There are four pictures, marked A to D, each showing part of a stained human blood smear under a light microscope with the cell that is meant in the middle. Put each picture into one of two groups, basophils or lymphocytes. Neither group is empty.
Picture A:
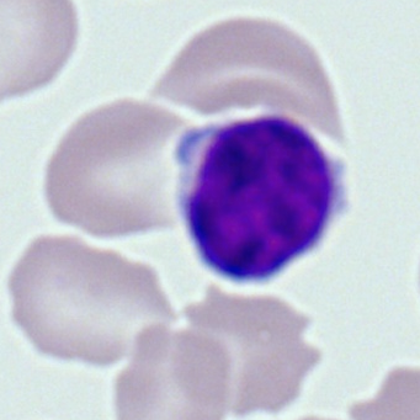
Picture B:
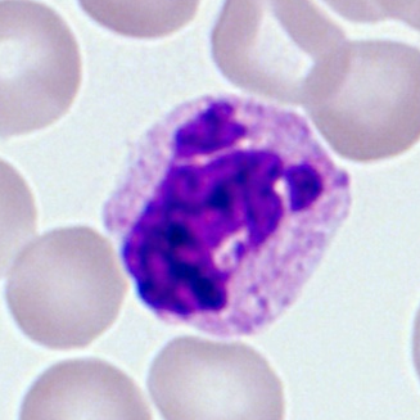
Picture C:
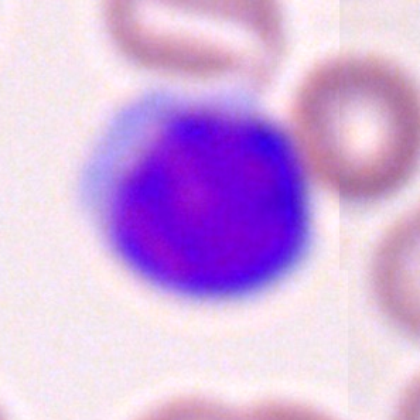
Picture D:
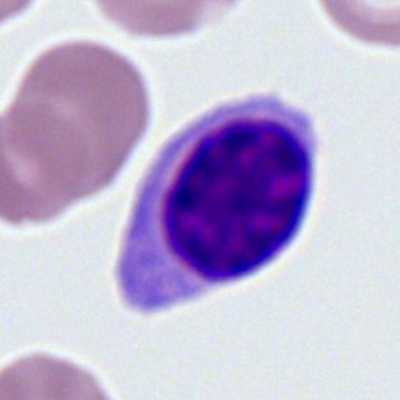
A: lymphocyte
B: basophil
C: lymphocyte
D: lymphocyte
